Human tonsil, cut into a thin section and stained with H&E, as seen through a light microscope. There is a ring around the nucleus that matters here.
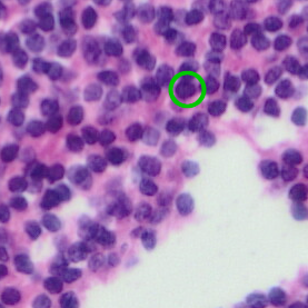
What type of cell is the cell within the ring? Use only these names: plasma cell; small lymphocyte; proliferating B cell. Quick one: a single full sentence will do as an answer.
In the stained section, the cell within the ring is a small lymphocyte.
